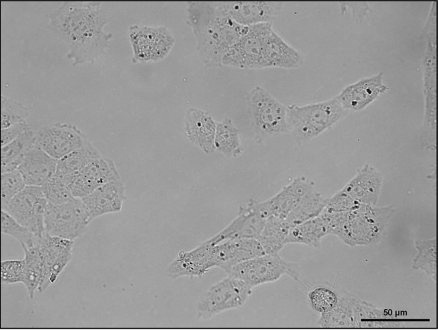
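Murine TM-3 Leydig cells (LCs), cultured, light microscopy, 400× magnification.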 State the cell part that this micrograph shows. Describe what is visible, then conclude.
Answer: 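Scattered small dark dots lie within the cytoplasm of the flat cells. The dots are fewer and sparser than a dense granular fill.
Conclusion: Refractive inclusions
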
